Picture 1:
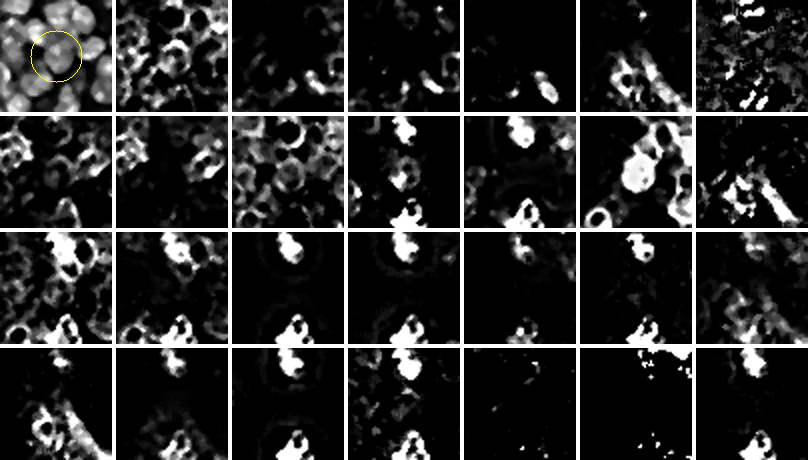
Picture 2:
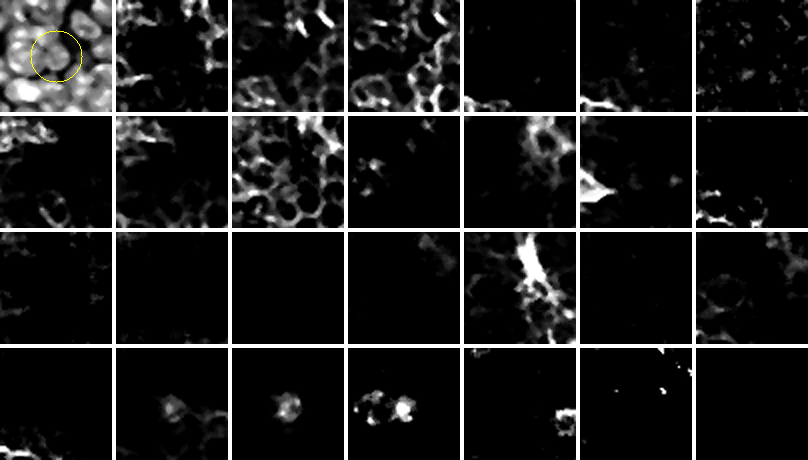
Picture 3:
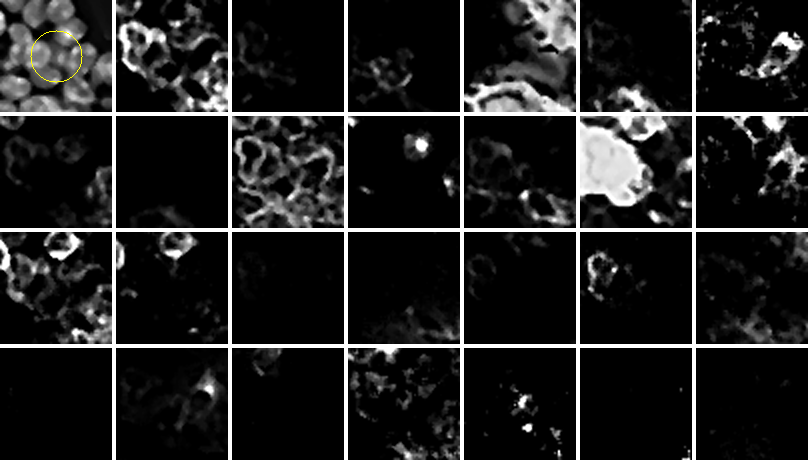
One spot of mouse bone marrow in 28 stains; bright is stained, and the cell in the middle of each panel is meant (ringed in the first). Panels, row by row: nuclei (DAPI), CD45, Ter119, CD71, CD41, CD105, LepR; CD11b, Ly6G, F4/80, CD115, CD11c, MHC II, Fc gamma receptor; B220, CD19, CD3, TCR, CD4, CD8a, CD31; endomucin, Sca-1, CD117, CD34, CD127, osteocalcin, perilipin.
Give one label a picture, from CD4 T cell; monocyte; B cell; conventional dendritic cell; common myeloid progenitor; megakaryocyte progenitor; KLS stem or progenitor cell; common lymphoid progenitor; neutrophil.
Picture 1: monocyte
Picture 2: common myeloid progenitor
Picture 3: common lymphoid progenitor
